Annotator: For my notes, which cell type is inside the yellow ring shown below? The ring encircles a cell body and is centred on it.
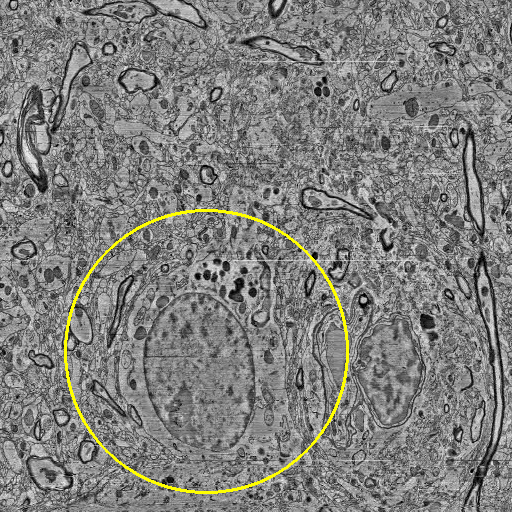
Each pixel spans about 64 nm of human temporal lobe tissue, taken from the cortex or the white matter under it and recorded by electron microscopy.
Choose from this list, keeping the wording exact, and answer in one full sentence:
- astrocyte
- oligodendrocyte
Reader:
At the centre of the yellow ring there is an astrocyte, as shown in the picture.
